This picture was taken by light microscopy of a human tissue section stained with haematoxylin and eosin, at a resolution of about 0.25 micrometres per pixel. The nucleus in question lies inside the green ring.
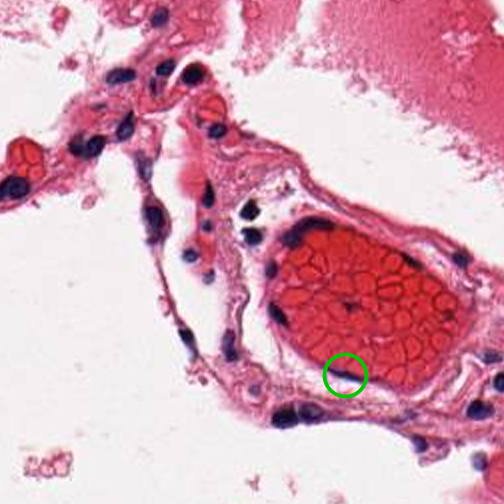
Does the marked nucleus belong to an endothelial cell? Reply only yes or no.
yes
